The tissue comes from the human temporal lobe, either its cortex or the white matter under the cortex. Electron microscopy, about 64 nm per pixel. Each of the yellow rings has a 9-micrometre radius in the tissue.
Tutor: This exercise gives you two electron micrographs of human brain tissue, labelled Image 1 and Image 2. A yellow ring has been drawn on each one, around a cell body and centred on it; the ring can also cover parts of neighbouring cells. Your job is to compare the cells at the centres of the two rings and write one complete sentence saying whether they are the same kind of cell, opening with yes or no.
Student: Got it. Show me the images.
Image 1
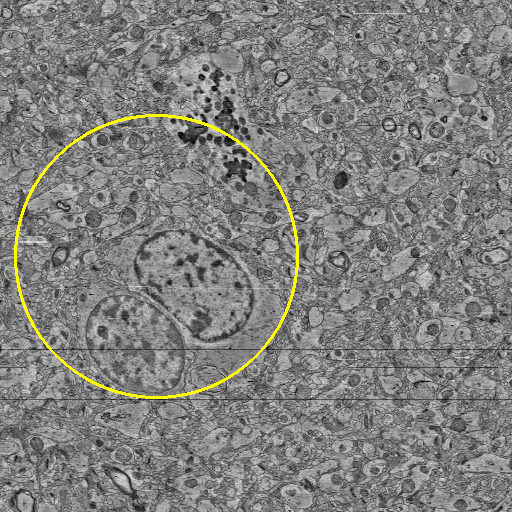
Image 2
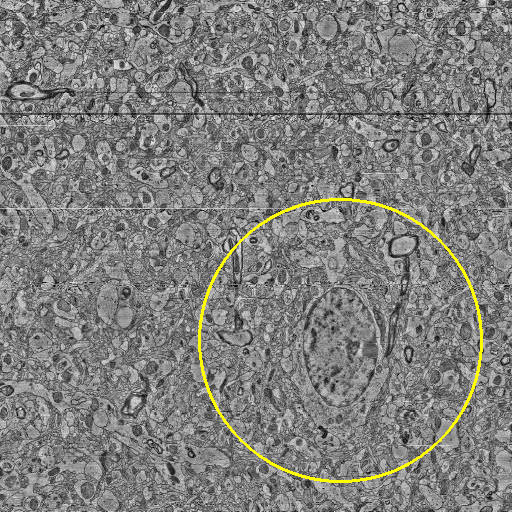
No, the two cells belong to two kinds.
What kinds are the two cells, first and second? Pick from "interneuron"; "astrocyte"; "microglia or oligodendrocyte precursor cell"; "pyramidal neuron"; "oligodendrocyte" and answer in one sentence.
The second picture holds a microglial cell or oligodendrocyte precursor cell in its ring, and the first holds an astrocyte.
